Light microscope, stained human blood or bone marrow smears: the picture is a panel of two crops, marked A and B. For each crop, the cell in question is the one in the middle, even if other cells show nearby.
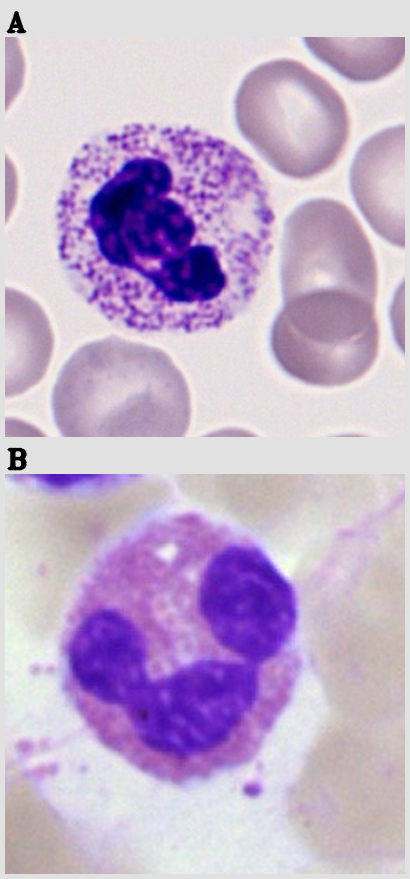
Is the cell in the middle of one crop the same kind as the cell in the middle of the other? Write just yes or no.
no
